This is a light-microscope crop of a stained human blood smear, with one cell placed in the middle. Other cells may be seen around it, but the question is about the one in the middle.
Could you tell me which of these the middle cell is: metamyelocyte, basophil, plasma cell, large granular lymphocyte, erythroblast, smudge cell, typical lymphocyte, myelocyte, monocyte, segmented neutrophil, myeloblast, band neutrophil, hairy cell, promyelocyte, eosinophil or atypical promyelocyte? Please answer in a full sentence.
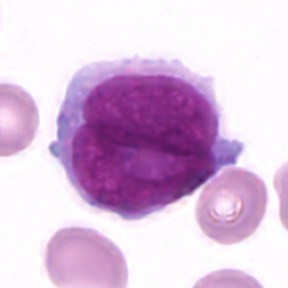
The cell centered in this field of view is an atypical promyelocyte.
